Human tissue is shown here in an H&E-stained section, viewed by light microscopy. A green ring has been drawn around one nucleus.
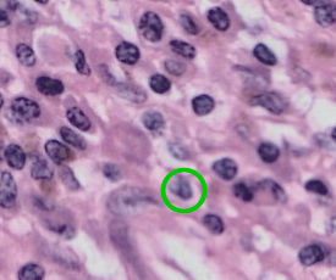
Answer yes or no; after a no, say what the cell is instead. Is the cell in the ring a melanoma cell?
No, it is a lymphocyte.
